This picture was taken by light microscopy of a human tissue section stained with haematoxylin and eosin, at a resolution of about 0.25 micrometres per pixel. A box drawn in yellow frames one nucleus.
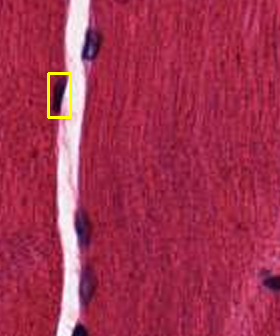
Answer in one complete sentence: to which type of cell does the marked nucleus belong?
The marked nucleus is recognized as the nucleus of a skeletal muscle fibre.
